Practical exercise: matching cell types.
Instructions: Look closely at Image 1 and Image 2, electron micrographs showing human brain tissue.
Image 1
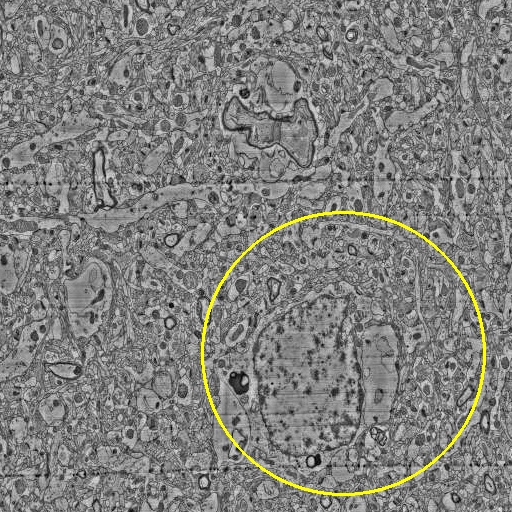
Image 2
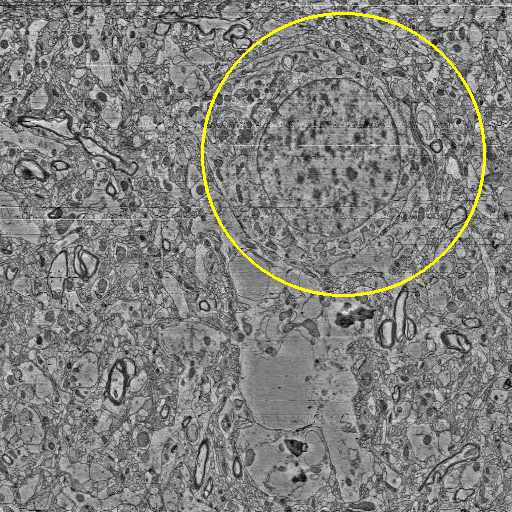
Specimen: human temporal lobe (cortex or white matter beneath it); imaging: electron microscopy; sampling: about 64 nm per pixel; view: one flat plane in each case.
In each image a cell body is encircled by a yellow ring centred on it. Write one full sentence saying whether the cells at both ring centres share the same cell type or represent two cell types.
Across Image 1 and Image 2, the cells at the ring centres share the same cell type.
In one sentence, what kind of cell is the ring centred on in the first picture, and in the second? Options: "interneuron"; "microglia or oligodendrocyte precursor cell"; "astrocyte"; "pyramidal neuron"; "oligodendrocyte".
Each of the two pictures has an interneuron at the ring centre.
